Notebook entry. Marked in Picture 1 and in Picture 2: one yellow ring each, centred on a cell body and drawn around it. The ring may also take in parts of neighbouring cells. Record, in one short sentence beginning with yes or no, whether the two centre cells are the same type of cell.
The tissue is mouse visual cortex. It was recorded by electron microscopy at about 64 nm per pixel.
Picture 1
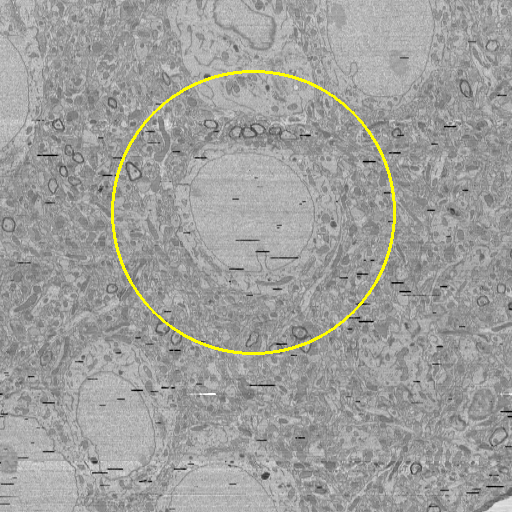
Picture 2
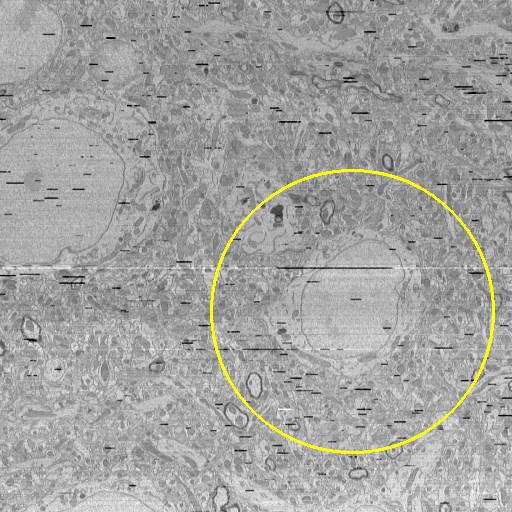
Yes, both are the same type of cell.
